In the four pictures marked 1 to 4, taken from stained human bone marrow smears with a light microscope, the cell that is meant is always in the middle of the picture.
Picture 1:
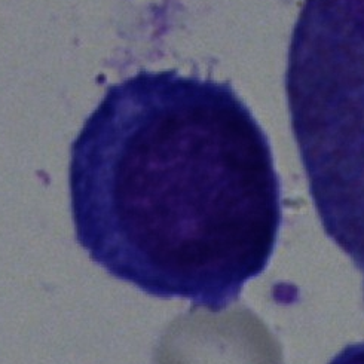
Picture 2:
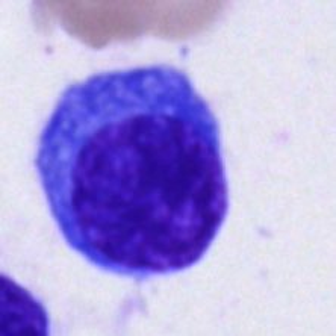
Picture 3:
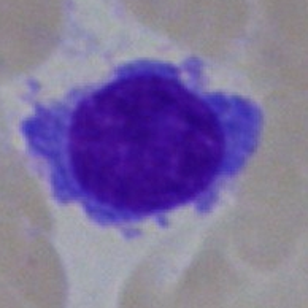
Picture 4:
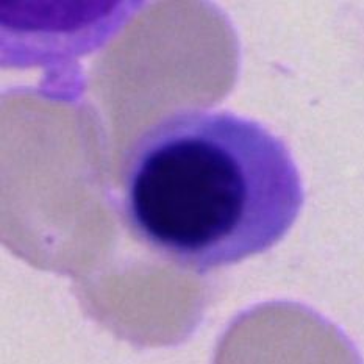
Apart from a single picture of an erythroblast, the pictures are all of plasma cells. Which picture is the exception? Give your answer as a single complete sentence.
Picture 4 is the one that shows the erythroblast.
